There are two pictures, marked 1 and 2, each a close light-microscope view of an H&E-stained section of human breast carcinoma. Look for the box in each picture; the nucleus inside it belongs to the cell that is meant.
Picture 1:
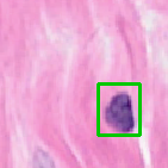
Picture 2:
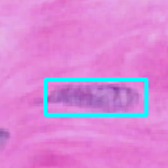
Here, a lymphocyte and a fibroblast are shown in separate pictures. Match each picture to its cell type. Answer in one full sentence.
In picture 1 the cell is a lymphocyte; in picture 2, a fibroblast.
